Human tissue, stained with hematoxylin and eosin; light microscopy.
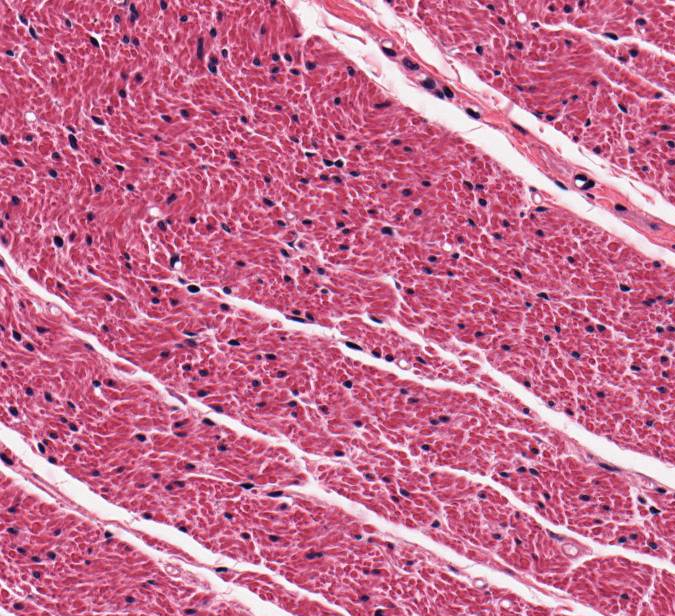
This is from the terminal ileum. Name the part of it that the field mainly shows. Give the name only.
smooth muscle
